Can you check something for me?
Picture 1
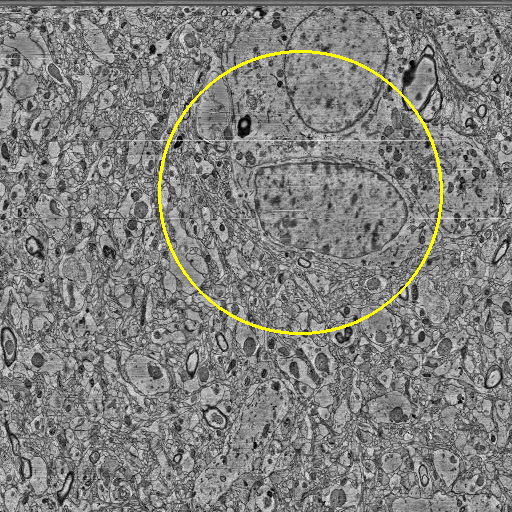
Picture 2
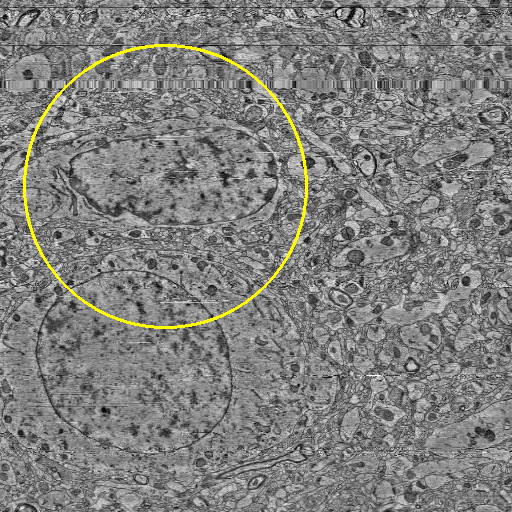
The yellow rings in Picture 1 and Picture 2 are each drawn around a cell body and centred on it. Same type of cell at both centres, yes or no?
yes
